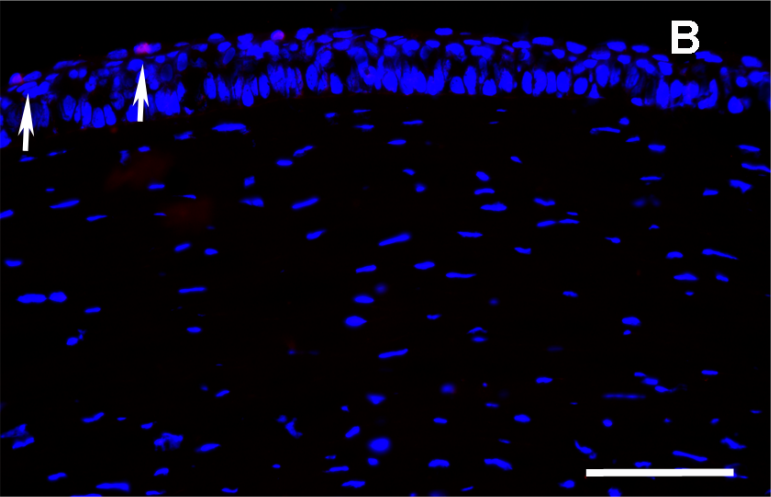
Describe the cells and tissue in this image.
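This section of cornea shows a stratified surface epithelium resting on a thick stroma, with nuclei stained blue. The epithelium has several layers, with tall, closely packed nuclei in the deeper layers and flatter nuclei toward the surface. Only a few nuclei in the epithelium show a faint pinkish-red tint. The stroma below holds scattered, slender, flattened keratocyte nuclei aligned parallel to the surface in a dark, cell-poor matrix.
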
